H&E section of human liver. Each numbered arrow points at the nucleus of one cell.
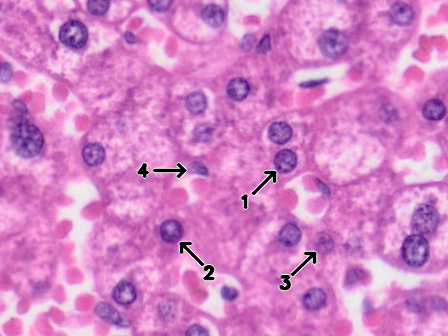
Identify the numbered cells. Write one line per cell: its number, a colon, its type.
1: hepatocyte
2: hepatocyte
3: hepatocyte
4: endothelial cell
